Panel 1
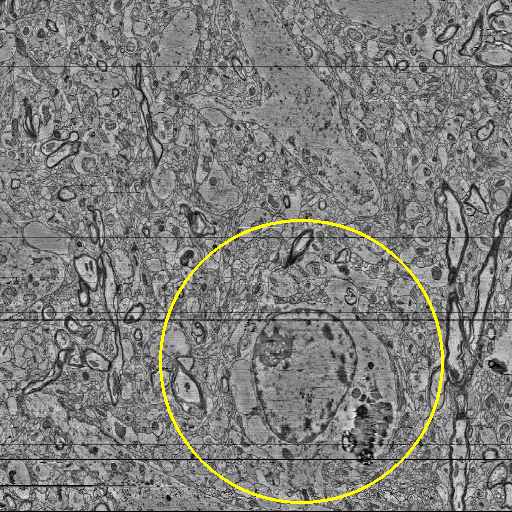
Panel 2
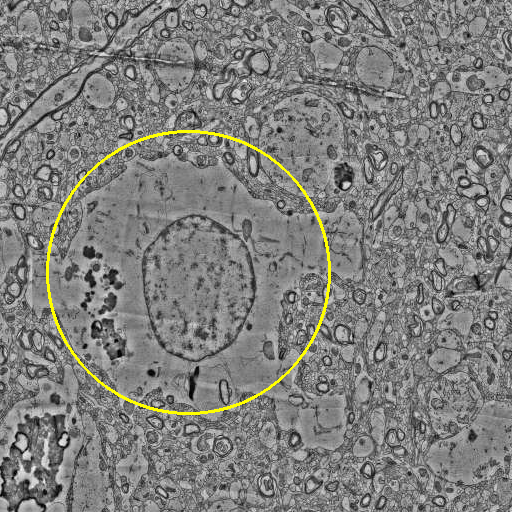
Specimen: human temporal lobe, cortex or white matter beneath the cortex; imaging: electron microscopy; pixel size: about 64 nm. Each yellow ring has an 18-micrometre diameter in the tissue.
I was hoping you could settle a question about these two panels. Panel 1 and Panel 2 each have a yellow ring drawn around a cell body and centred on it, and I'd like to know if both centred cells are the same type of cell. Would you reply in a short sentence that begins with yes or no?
Yes, both are the same type of cell.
